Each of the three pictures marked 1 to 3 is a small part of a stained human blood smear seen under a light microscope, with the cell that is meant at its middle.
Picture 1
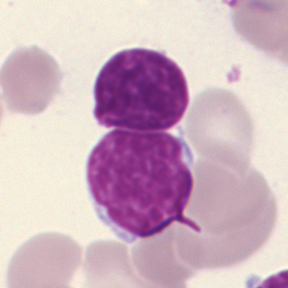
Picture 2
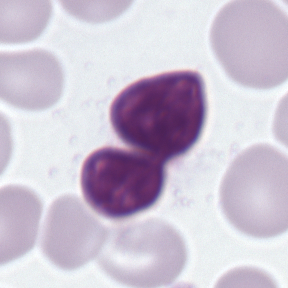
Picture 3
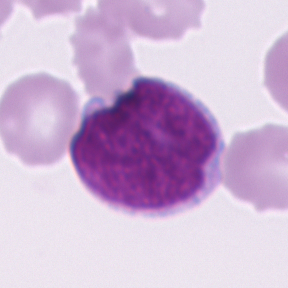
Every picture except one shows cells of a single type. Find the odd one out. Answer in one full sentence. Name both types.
Picture 2 differs, because its cell is a smudge cell and the rest are myeloblasts.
